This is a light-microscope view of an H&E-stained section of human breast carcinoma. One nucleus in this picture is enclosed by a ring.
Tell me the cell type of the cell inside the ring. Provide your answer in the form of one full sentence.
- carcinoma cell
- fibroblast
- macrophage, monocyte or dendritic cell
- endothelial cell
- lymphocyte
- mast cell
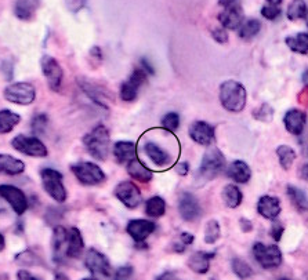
Right, so the cell inside the ring is a lymphocyte, to answer that.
